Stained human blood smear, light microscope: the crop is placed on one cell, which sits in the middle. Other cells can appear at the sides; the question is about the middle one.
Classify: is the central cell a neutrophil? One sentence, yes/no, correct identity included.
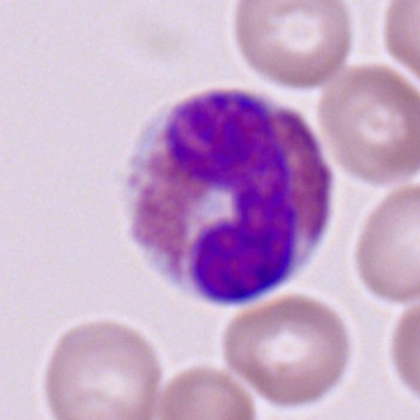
No, the one in the center is not a neutrophil; it is an eosinophil.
